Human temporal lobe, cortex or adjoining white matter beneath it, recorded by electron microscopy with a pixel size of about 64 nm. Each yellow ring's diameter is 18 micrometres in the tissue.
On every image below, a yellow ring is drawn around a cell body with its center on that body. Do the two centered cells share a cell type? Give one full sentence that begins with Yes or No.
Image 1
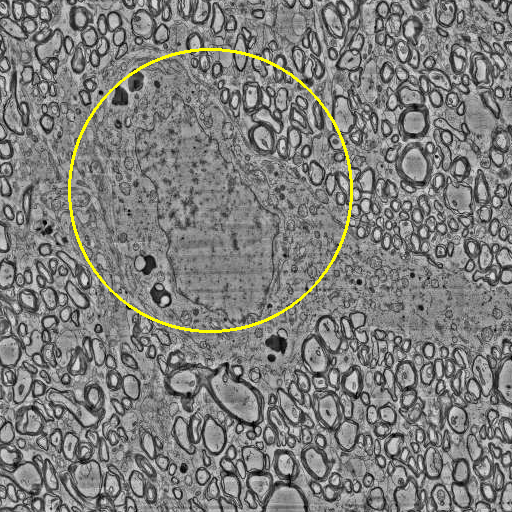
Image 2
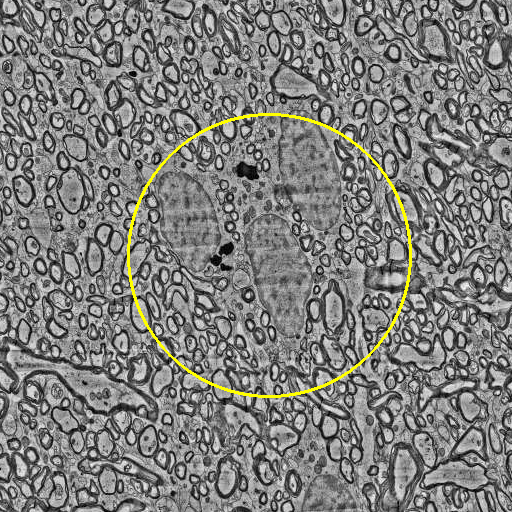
No, the centered cells in the two images are of two separate cell types.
